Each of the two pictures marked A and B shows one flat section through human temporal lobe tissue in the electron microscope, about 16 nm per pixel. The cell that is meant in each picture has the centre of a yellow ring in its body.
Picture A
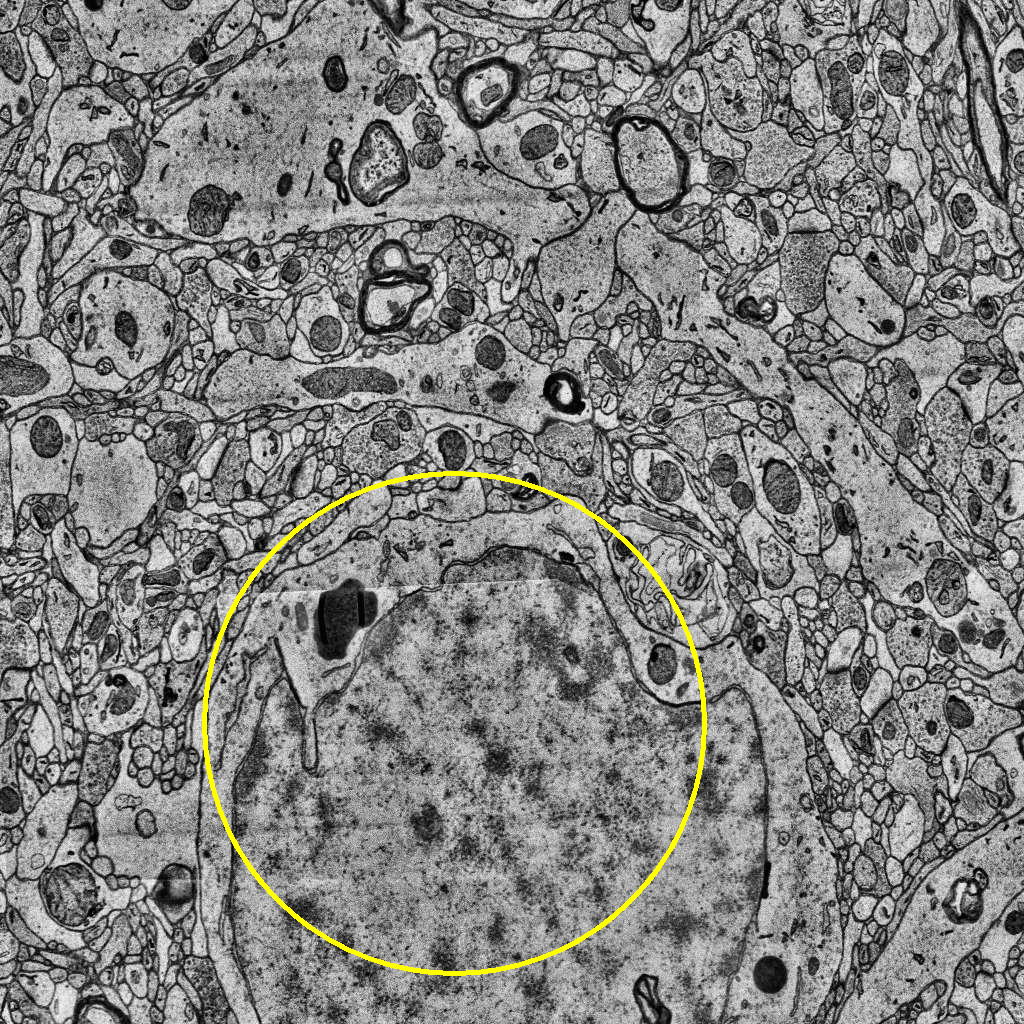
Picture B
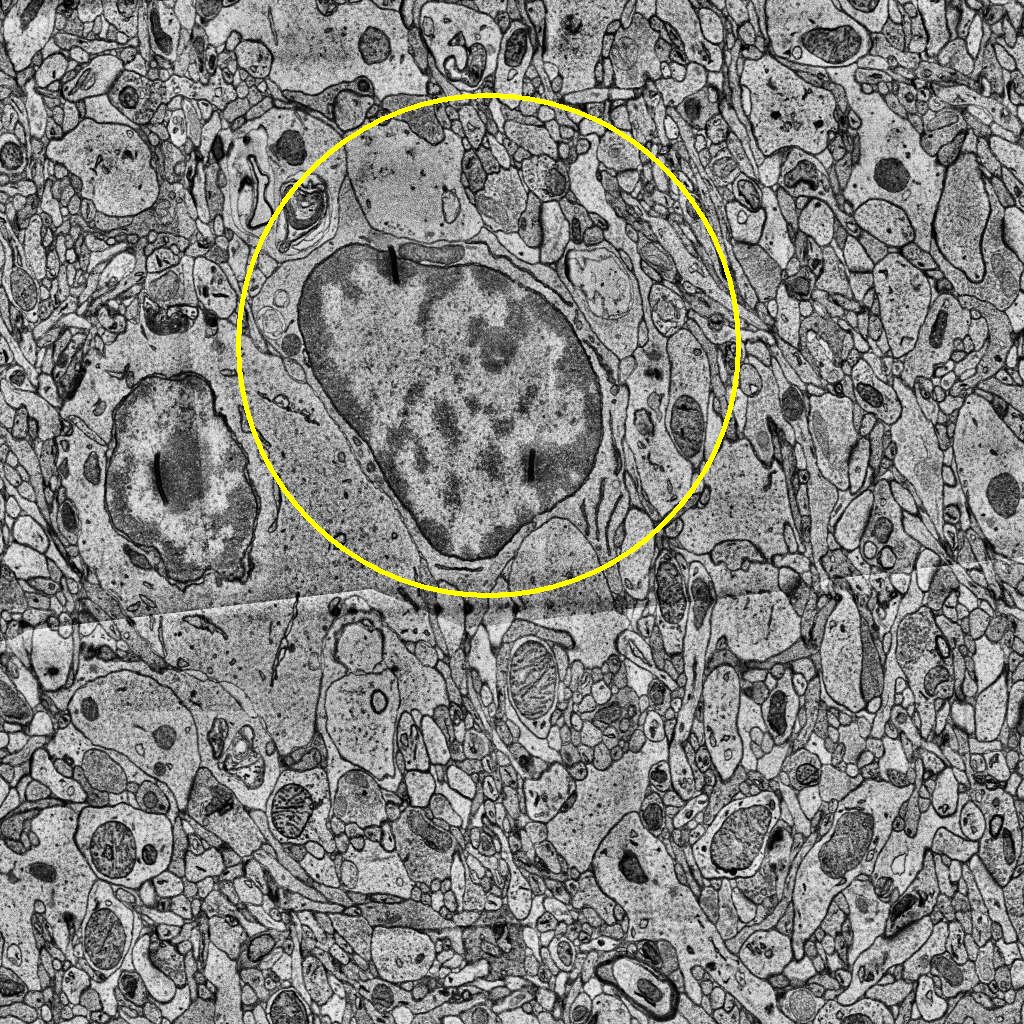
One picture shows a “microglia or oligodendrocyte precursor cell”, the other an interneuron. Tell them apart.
In picture A the cell is an interneuron; in picture B, a “microglia or oligodendrocyte precursor cell”.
